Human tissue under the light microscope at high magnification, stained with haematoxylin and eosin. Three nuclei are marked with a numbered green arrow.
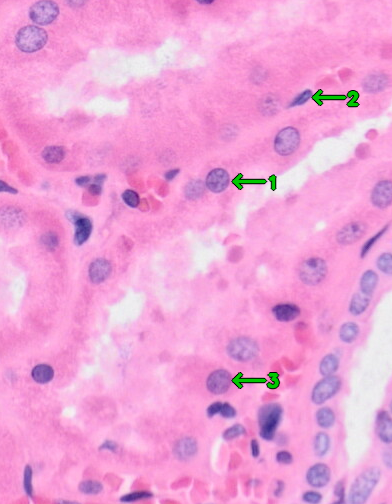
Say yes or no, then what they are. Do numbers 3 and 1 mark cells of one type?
Yes, cells 3 and 1 both belong among the proximal tubule cells.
